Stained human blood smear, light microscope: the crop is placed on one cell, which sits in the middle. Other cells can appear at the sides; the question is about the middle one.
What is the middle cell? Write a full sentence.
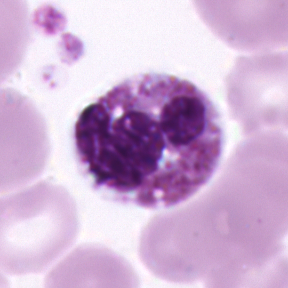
The cell positioned in the middle of the field is an eosinophil.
